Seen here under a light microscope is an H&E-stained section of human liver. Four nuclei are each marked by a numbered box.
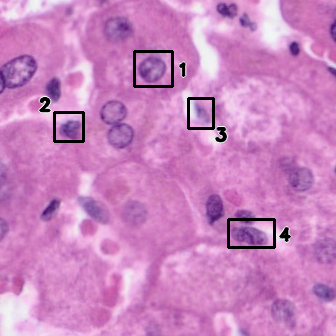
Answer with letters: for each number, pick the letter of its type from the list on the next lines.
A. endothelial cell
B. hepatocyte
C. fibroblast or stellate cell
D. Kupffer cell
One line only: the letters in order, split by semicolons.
B; C; A; D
